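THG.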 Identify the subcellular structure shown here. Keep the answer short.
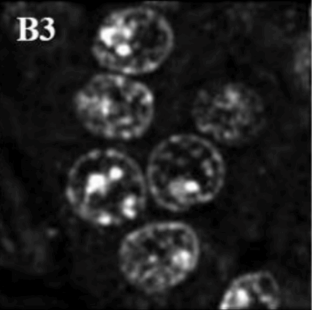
nuclei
